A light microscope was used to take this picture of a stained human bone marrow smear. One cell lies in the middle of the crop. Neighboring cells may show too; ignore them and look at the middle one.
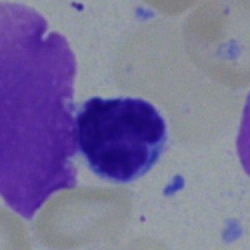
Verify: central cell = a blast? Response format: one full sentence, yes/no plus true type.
No, the cell at the centre is identified as a lymphocyte, not as a blast.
